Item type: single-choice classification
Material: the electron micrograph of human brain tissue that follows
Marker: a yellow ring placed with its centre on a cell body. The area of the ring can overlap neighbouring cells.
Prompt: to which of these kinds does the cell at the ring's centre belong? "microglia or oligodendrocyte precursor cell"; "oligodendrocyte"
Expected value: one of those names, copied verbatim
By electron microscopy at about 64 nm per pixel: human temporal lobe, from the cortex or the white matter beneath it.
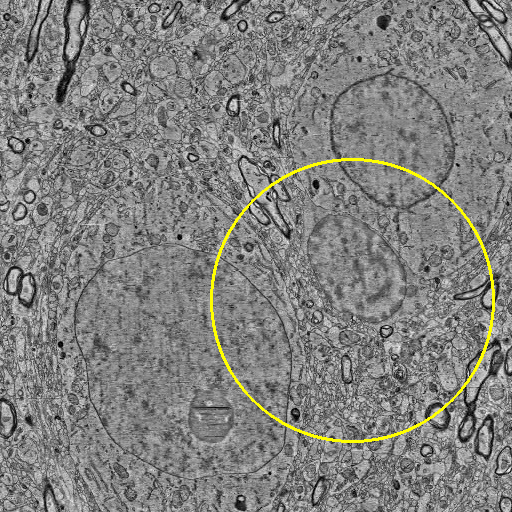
oligodendrocyte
